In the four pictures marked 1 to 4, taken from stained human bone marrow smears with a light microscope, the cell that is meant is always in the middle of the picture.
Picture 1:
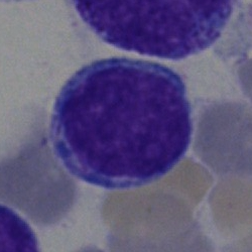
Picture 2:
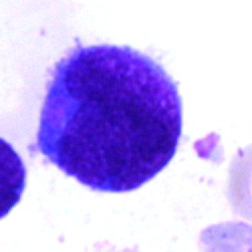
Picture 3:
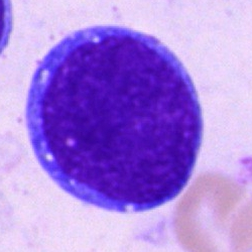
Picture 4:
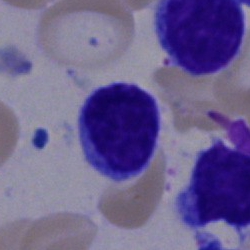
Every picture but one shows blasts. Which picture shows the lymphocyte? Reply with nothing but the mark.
4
